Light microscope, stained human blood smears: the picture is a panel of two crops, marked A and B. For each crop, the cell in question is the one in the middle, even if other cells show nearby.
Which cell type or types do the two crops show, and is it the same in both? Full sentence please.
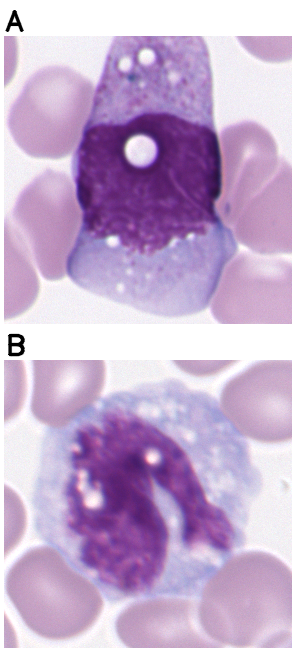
Yes, the cells of interest in both crops are monocytes.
